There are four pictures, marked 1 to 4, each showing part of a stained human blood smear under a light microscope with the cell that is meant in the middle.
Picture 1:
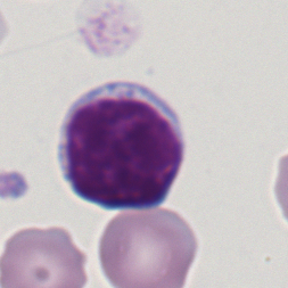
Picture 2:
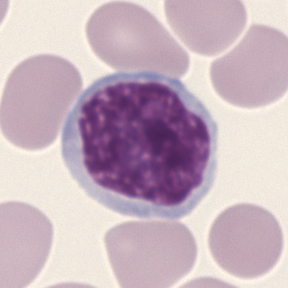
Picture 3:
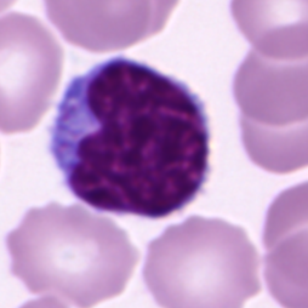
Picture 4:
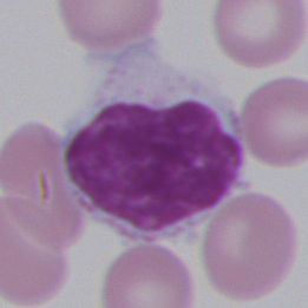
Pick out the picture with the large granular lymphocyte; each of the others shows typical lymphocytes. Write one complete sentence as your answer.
The picture with the large granular lymphocyte is 4.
